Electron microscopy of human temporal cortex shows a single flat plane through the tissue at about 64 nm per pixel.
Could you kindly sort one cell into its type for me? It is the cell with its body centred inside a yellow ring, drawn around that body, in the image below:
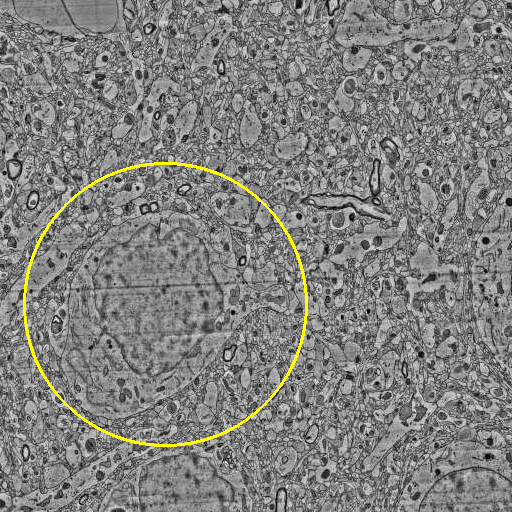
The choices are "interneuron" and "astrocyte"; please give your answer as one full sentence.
The cell whose body lies centred in the yellow ring here is an interneuron.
